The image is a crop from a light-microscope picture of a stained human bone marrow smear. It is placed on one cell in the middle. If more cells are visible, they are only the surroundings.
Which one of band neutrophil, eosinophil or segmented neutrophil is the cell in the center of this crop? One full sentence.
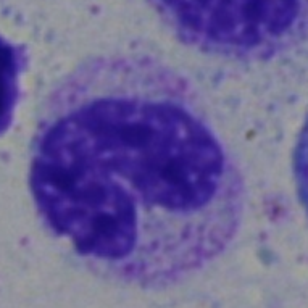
Here the centrally located cell is a band neutrophil.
